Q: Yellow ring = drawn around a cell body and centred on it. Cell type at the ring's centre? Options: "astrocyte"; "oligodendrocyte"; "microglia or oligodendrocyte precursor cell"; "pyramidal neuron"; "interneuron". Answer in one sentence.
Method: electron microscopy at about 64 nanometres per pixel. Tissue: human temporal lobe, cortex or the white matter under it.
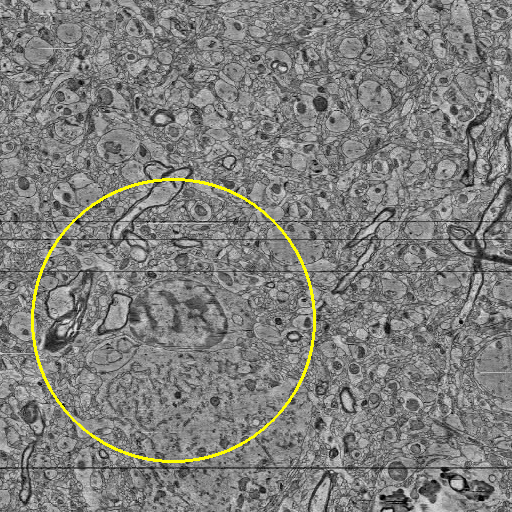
Centred in the ring is an oligodendrocyte.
